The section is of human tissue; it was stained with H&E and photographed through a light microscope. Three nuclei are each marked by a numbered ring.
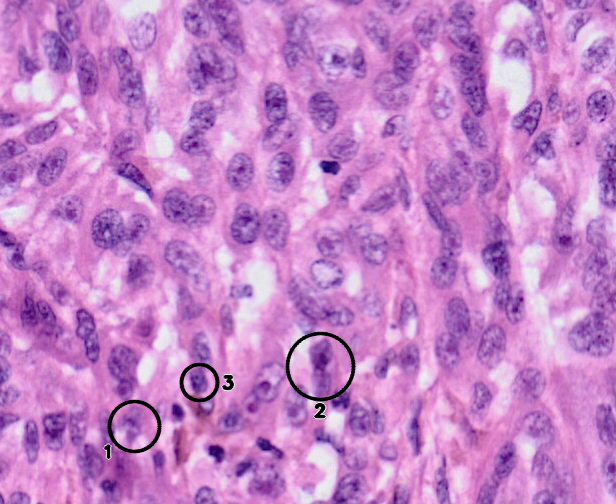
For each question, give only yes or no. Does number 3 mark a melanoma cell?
no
